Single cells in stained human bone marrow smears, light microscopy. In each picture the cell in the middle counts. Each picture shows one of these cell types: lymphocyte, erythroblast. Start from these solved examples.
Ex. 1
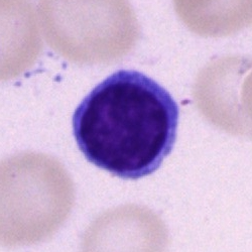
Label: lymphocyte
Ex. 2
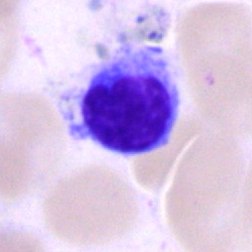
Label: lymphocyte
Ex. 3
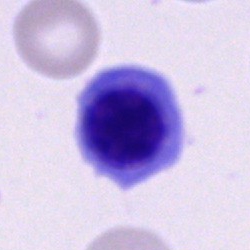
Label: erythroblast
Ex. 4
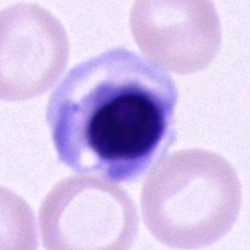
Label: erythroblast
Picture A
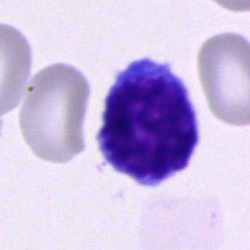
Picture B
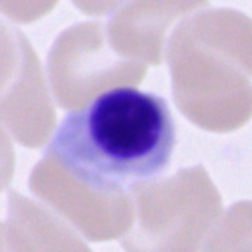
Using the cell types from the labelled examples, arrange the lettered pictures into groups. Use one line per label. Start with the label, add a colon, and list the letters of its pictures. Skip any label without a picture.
lymphocyte: A
erythroblast: B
